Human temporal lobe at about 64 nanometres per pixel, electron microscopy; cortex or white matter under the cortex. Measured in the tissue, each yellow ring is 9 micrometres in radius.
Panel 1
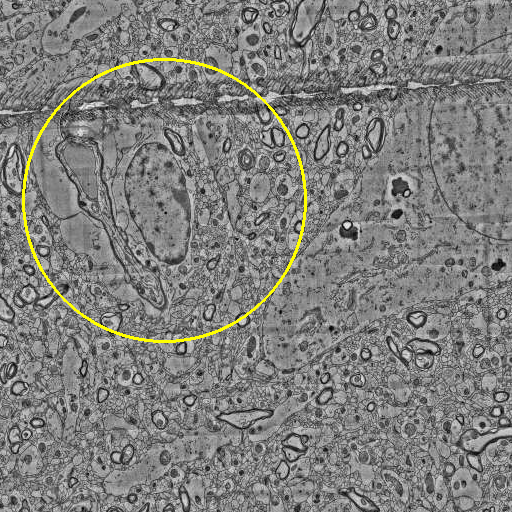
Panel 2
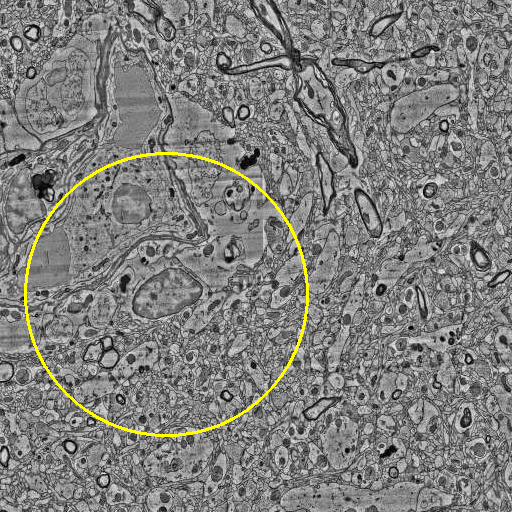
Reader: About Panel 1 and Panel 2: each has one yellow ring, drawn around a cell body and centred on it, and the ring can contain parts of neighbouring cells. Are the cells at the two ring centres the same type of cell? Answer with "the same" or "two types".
the same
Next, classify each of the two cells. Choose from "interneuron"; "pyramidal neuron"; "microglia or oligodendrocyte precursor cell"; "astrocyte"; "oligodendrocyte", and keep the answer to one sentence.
Each of the two pictures has a microglial cell or oligodendrocyte precursor cell at the ring centre.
